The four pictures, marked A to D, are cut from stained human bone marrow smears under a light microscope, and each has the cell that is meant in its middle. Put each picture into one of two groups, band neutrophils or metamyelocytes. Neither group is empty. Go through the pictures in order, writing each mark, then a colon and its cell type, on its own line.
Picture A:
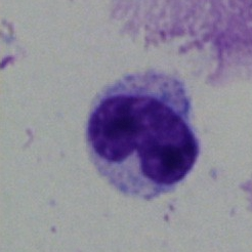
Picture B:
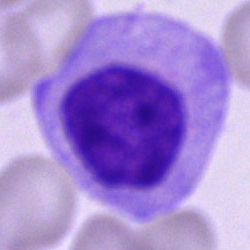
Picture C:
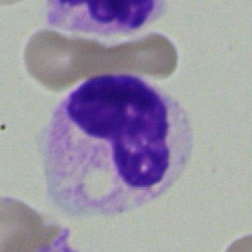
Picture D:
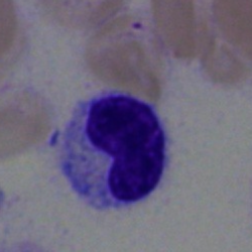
A: band neutrophil
B: metamyelocyte
C: band neutrophil
D: band neutrophil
